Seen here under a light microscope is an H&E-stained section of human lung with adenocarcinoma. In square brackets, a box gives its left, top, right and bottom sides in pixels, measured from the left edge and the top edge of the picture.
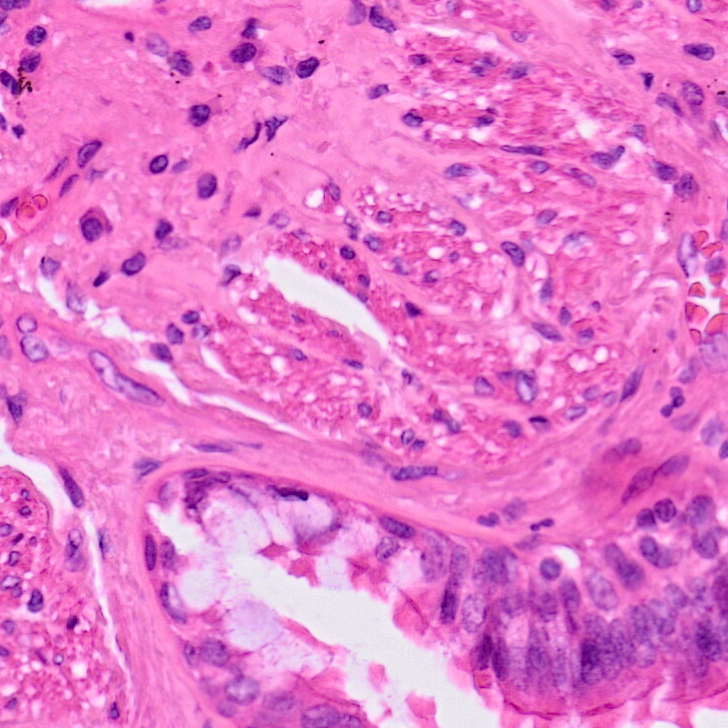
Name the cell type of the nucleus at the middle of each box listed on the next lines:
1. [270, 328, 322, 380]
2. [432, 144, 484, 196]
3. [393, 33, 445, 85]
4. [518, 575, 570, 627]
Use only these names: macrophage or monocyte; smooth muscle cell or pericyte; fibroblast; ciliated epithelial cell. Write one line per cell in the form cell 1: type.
cell 1: smooth muscle cell or pericyte
cell 2: smooth muscle cell or pericyte
cell 3: smooth muscle cell or pericyte
cell 4: ciliated epithelial cell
